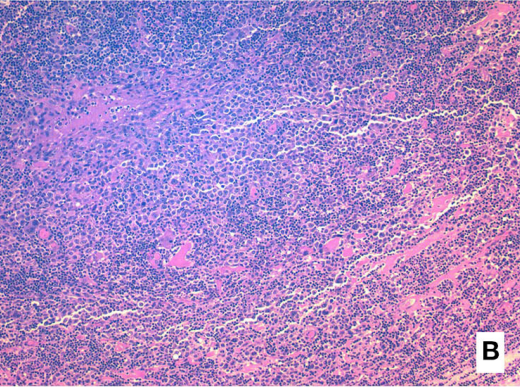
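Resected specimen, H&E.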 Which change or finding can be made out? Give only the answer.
Layers of neoplastic cells.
